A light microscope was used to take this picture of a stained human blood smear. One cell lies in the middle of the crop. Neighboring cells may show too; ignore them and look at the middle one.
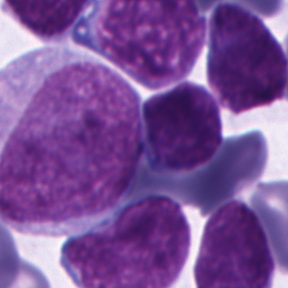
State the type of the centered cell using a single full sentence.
As for the cell in the middle, it is a blast.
